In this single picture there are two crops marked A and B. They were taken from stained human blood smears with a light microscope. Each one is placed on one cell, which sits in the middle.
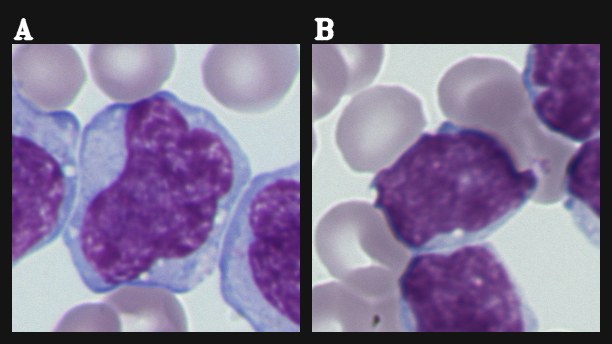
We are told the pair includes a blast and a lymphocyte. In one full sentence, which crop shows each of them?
The cell centred in crop A is a blast, and the one centred in crop B is a lymphocyte.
